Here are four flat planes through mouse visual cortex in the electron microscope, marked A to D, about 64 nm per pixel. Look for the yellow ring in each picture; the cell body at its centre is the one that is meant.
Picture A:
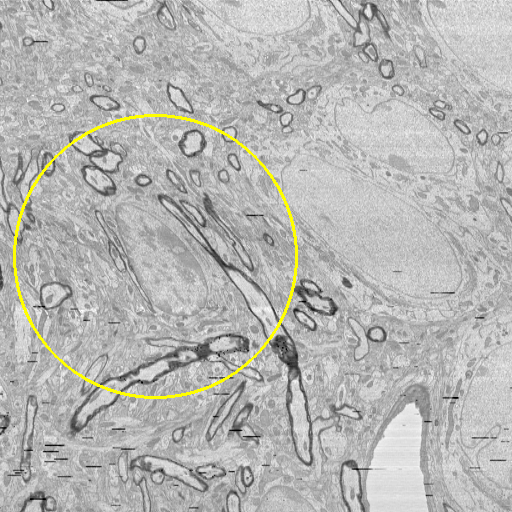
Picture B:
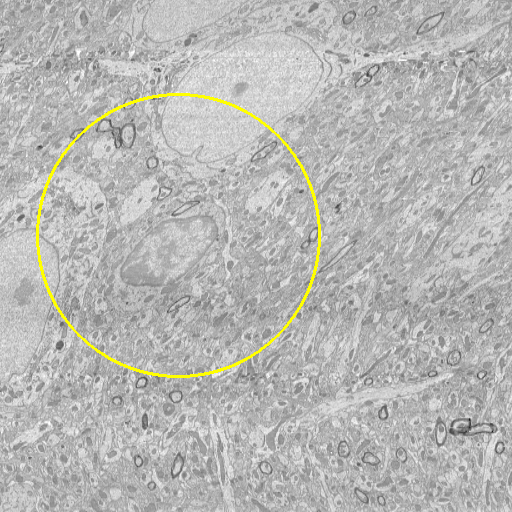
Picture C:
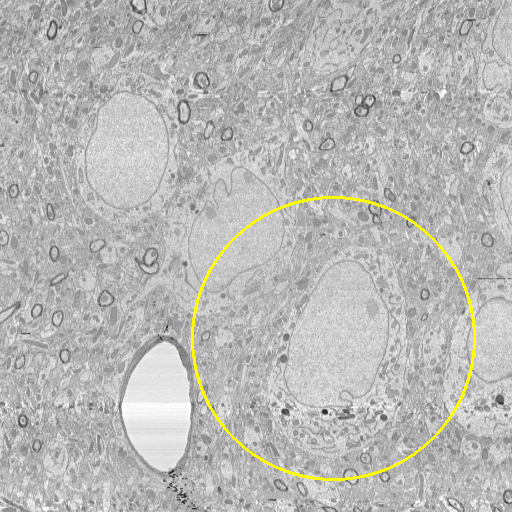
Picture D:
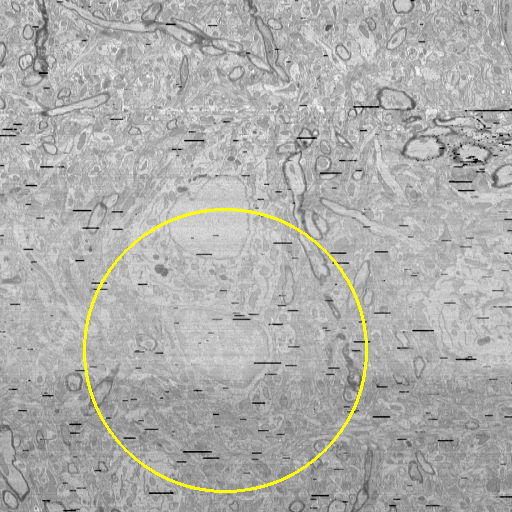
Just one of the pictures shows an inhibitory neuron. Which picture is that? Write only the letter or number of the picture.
C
